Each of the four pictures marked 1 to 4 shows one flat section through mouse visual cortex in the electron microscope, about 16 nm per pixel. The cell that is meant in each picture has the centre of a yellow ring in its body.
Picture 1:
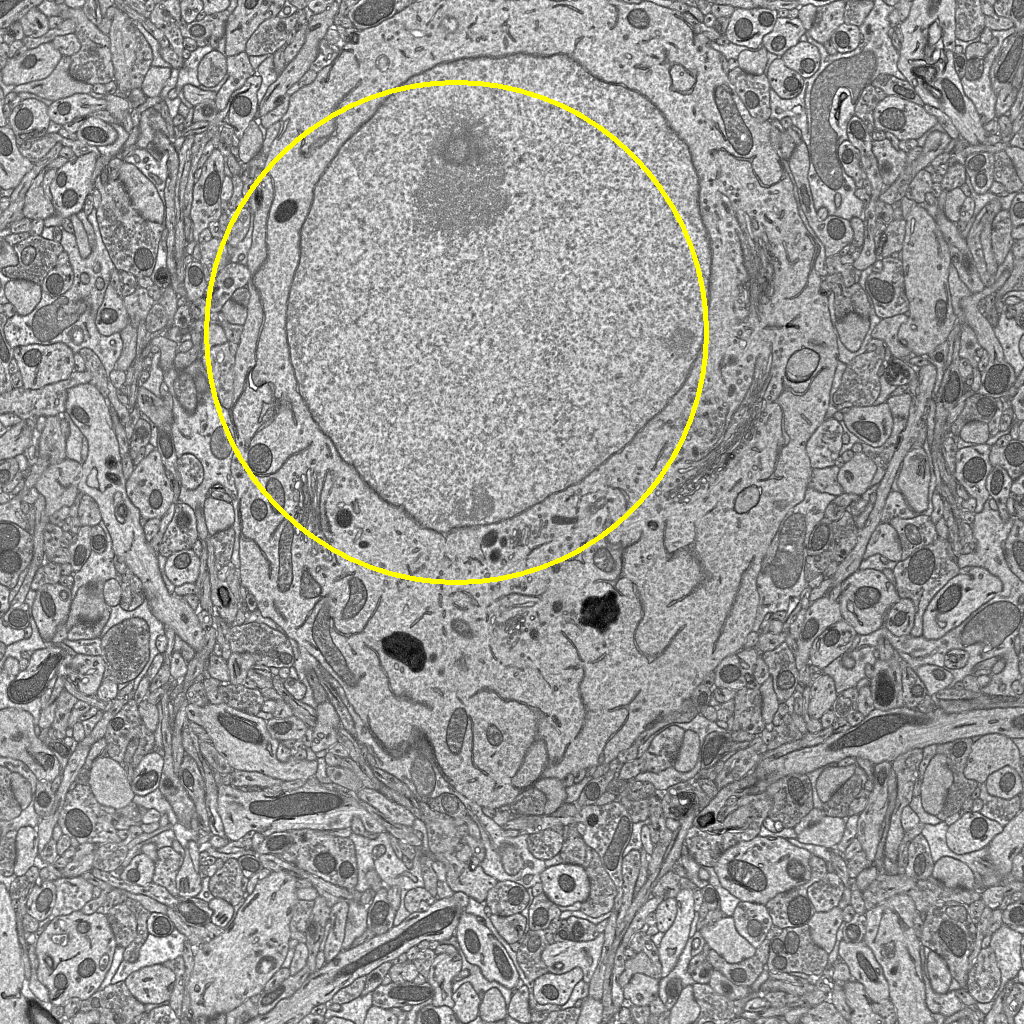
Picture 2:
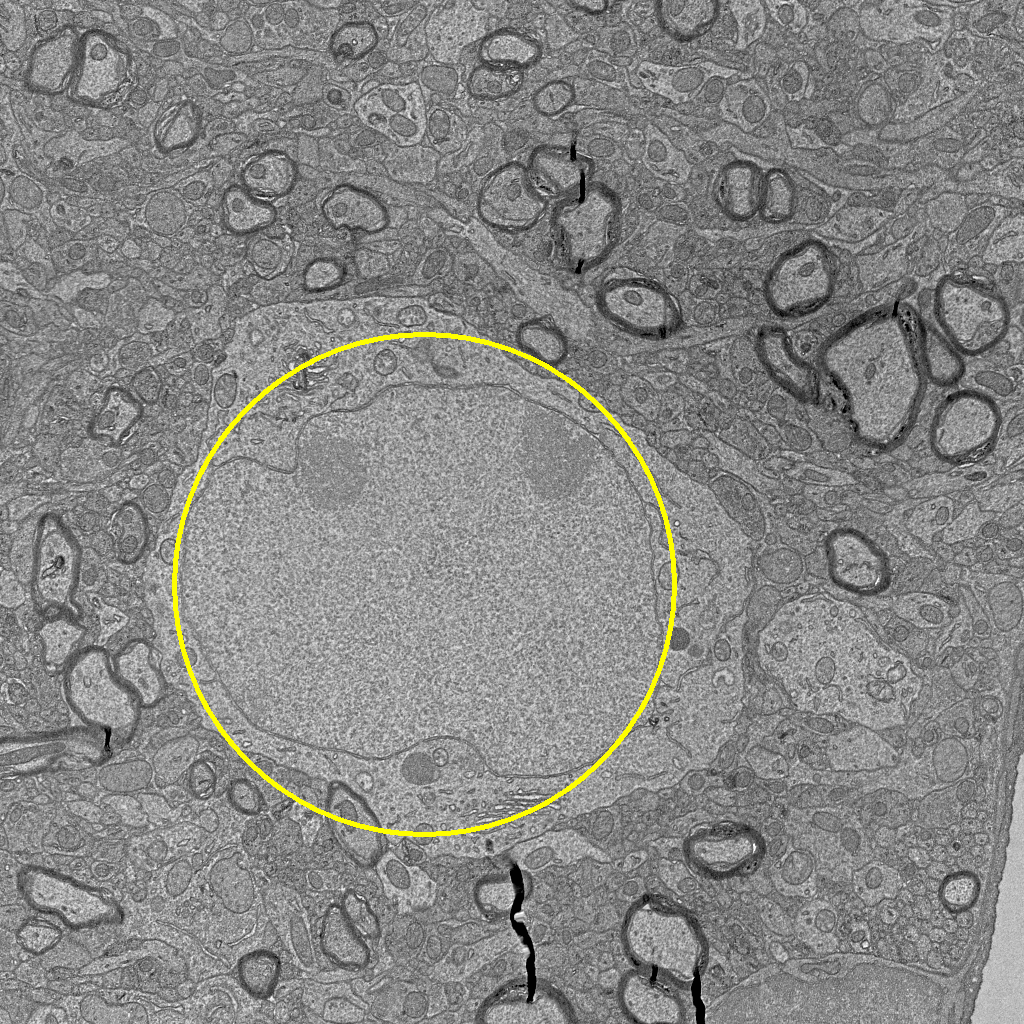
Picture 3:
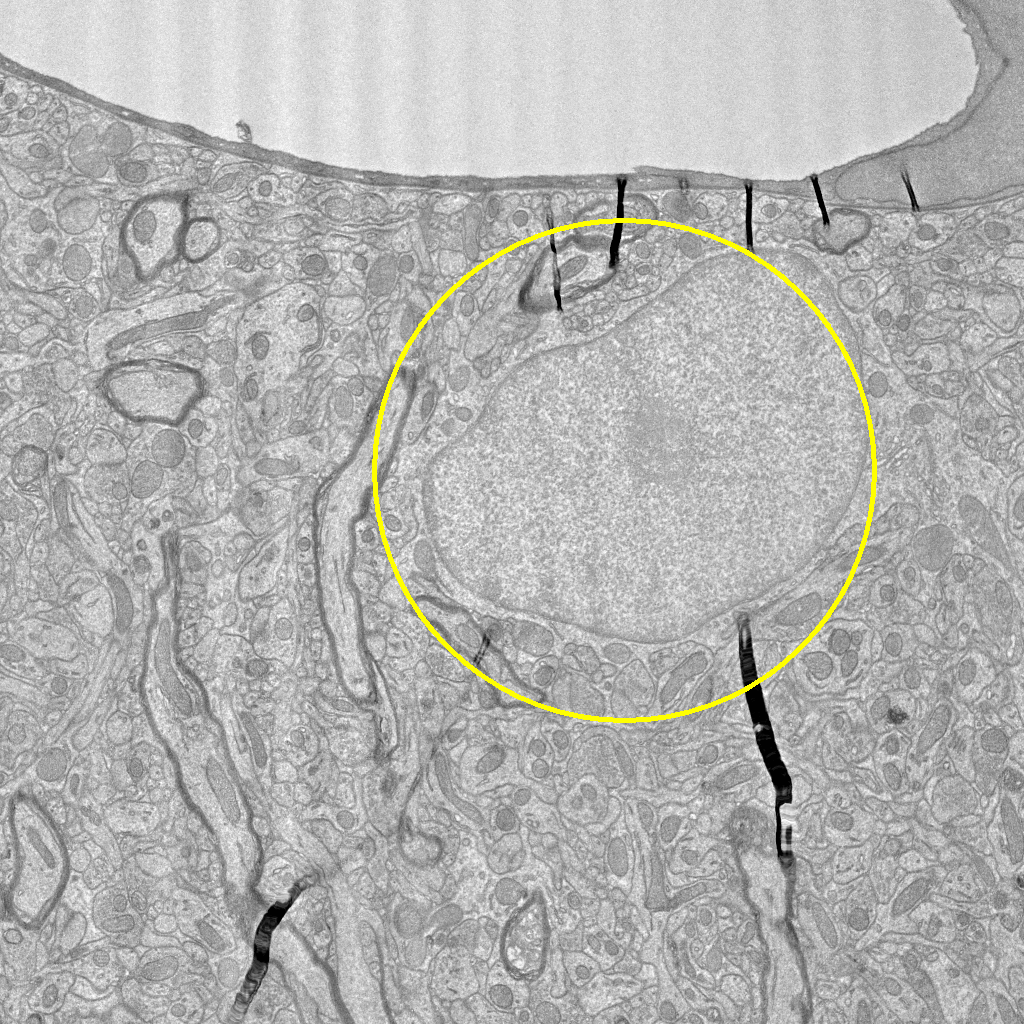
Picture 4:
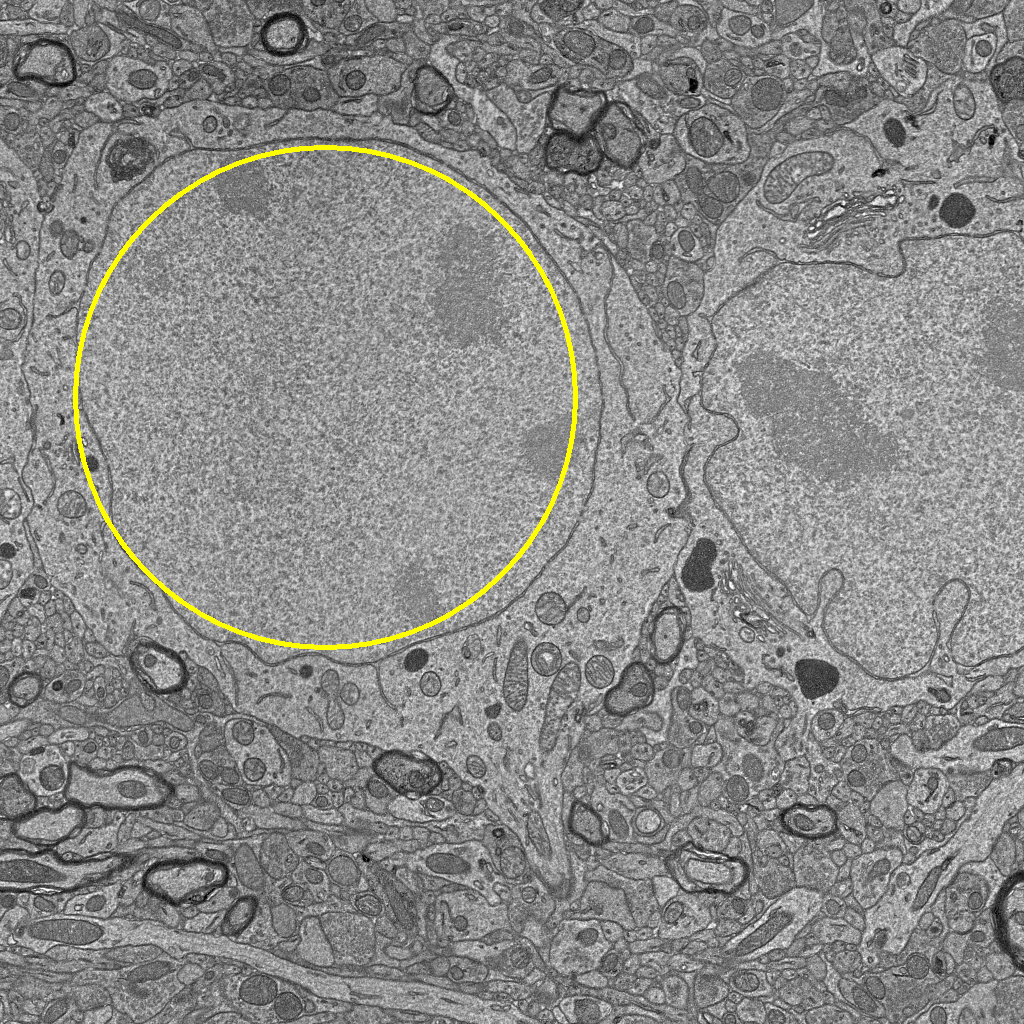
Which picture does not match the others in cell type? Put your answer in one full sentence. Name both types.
Unlike the rest, which show excitatory neurons, picture 3 shows an astrocyte.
